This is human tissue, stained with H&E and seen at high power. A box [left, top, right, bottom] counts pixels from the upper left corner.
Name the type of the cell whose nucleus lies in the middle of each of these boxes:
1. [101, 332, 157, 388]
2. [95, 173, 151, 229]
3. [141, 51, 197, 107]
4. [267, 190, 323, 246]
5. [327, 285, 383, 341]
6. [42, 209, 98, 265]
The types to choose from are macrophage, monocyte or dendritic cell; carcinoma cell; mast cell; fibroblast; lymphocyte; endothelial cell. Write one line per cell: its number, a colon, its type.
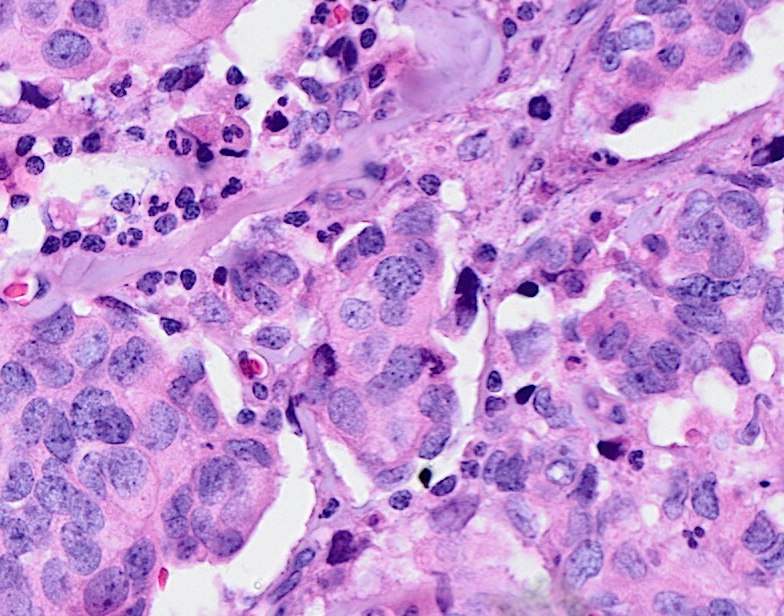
1: carcinoma cell
2: lymphocyte
3: lymphocyte
4: lymphocyte
5: carcinoma cell
6: lymphocyte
